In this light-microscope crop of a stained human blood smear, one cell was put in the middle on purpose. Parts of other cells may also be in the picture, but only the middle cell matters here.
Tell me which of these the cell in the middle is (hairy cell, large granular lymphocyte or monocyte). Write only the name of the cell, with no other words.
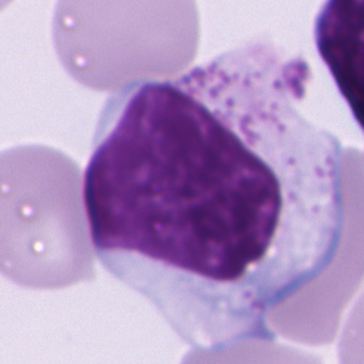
large granular lymphocyte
